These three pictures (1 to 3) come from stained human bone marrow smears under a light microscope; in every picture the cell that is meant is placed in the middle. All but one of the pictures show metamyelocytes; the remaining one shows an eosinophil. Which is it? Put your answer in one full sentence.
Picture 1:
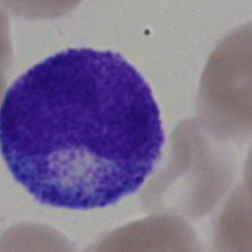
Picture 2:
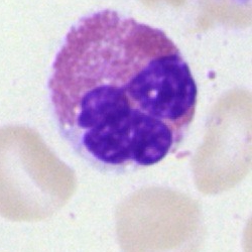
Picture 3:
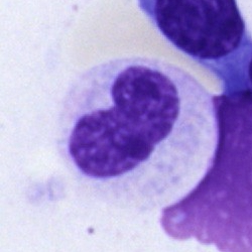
The eosinophil is the one in picture 2.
